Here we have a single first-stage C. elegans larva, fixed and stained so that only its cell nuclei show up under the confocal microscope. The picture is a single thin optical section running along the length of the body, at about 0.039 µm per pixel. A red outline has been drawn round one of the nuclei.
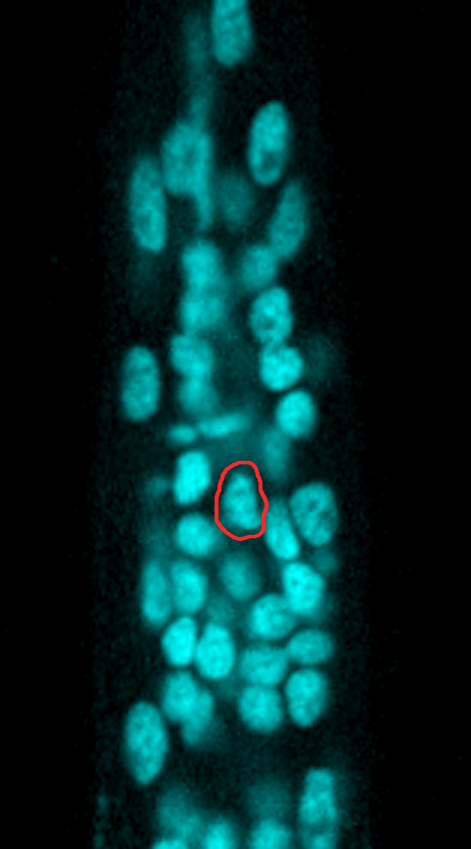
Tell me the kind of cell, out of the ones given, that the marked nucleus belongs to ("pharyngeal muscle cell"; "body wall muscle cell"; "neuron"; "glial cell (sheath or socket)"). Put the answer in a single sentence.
The marked nucleus is that of a pharyngeal muscle cell.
